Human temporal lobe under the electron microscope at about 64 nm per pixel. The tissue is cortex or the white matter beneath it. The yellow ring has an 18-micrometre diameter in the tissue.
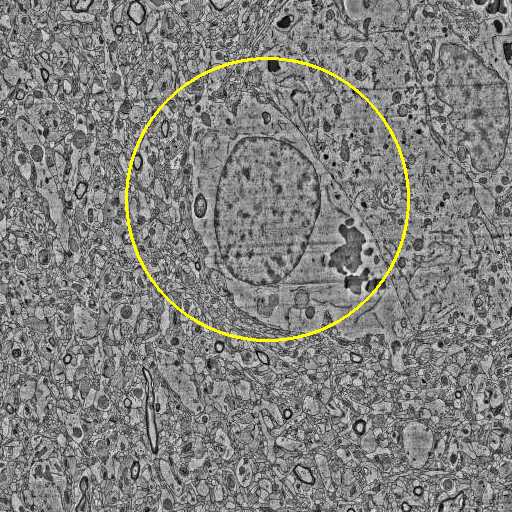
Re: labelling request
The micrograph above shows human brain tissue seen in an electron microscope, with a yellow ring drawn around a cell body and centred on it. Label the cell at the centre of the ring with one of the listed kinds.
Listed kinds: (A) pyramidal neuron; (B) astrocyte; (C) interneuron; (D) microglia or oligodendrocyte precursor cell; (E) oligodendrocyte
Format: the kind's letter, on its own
B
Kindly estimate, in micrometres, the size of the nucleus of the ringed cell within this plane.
In this plane, roughly 9 by 7 micrometres.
